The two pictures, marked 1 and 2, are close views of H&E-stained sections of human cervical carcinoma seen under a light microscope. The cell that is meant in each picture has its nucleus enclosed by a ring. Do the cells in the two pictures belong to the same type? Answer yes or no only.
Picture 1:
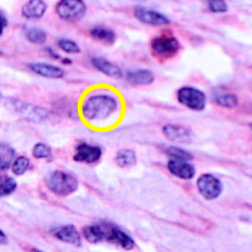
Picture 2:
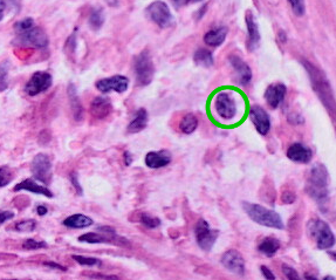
no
